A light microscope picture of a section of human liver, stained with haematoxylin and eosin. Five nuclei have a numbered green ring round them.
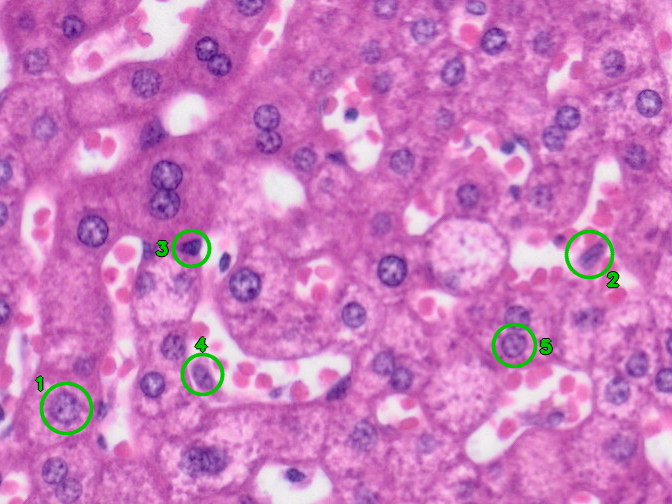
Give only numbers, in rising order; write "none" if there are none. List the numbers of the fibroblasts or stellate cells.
3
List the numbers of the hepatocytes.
1, 5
